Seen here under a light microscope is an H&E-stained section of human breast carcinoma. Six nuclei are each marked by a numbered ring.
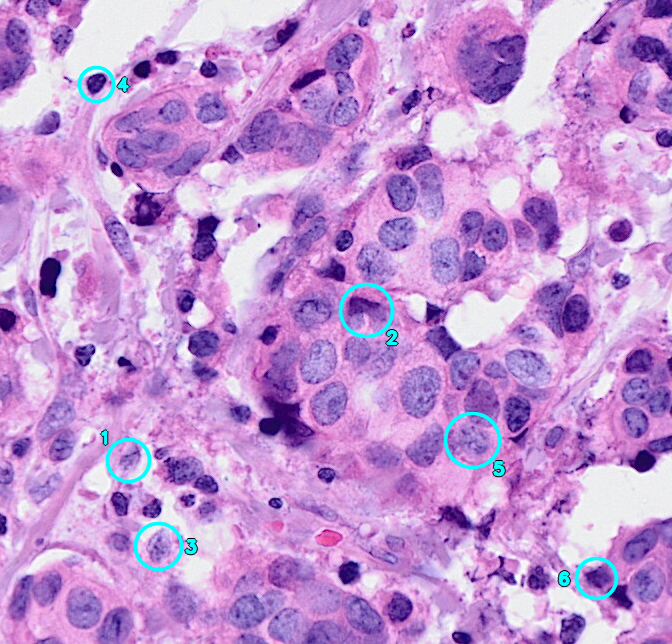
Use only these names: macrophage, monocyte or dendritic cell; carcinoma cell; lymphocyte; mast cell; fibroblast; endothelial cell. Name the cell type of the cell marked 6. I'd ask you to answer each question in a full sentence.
The cell whose nucleus carries the number 6 is a carcinoma cell.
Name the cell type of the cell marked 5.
The cell referred to as 5 is a carcinoma cell.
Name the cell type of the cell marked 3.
Cell number 3 in this section is a macrophage, monocyte or dendritic cell.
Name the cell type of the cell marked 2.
The one labeled 2 is a carcinoma cell, to put it simply.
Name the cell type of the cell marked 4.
The cell that carries the label 4 is a lymphocyte.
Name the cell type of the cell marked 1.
As for number 1, that cell is a macrophage, monocyte or dendritic cell.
